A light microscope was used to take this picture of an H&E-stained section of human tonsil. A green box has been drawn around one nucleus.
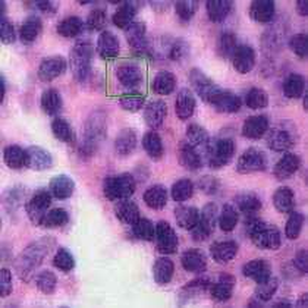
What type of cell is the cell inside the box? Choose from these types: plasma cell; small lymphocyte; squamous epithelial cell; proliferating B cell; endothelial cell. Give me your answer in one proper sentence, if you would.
As far as its identity is concerned, the cell inside the box is a small lymphocyte.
